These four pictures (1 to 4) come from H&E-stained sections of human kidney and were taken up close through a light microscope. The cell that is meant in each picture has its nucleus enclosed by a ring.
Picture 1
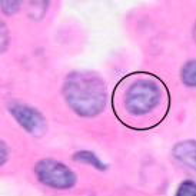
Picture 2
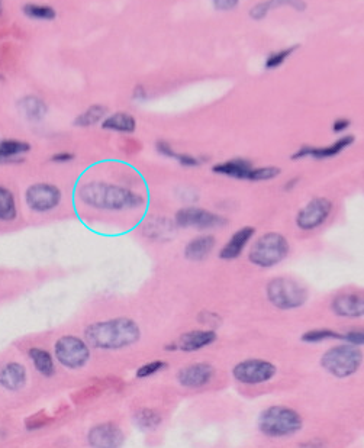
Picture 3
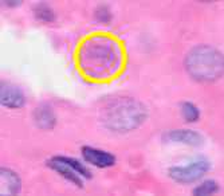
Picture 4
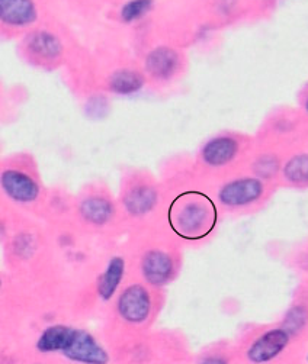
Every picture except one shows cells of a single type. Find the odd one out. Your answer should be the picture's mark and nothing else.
2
